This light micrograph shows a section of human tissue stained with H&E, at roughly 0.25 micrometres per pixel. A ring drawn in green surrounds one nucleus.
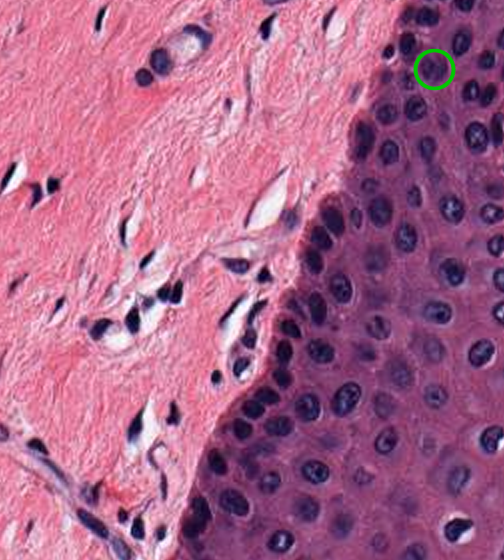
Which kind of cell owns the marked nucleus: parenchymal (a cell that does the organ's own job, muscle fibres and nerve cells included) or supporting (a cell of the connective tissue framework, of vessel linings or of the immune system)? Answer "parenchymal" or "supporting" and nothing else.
parenchymal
